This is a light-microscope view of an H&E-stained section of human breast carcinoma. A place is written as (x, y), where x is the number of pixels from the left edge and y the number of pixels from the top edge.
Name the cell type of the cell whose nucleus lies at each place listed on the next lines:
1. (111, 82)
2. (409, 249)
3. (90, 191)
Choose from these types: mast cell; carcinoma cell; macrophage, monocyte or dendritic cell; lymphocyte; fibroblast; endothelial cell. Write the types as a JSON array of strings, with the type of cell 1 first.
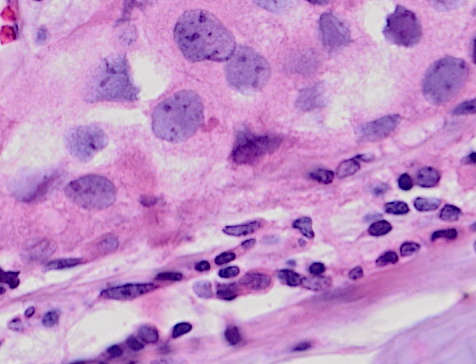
["carcinoma cell", "lymphocyte", "carcinoma cell"]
